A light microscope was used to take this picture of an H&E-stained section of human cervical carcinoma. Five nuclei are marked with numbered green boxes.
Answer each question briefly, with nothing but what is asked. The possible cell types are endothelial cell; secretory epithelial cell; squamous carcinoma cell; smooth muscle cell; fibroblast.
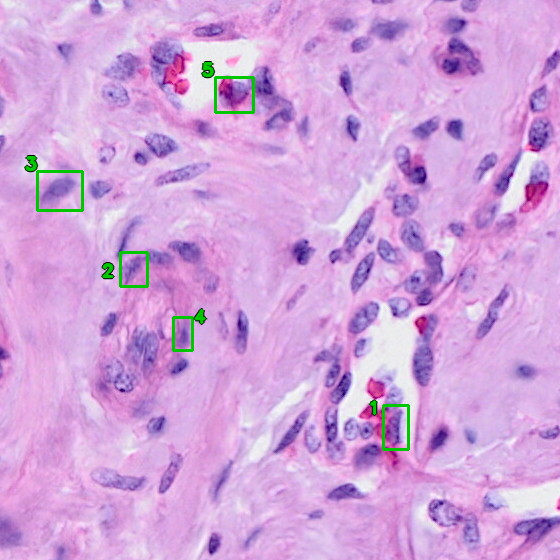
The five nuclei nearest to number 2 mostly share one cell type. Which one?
smooth muscle cell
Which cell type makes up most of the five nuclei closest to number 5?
endothelial cell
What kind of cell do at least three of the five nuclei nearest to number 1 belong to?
endothelial cell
